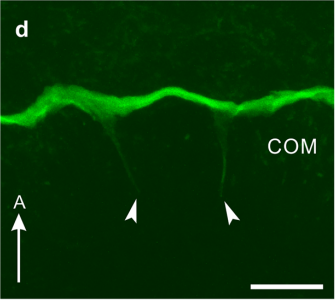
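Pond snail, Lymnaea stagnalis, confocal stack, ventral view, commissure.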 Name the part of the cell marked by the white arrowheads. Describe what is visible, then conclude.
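Two thin faint processes leave a thick horizontal green fibre and run downward.
Conclusion: fibers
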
